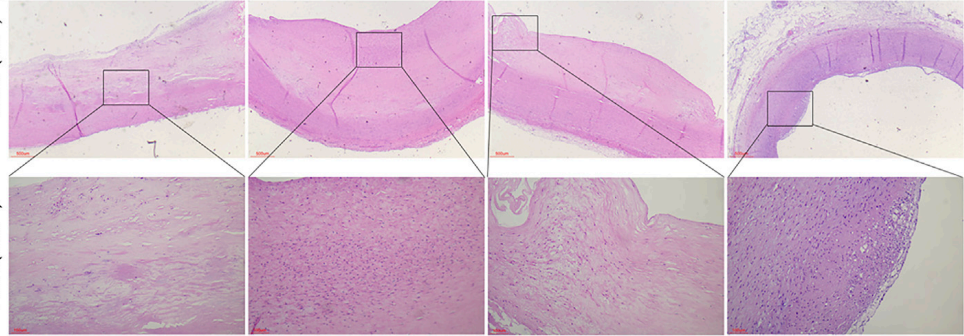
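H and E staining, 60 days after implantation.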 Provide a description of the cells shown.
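At low magnification each wall forms a broad pink band, thicker in some images and thinner in others, with the lumen left open. The density of nuclei varies from image to image: some fields are crowded with closely packed cells, while others show looser, paler matrix with few nuclei.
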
